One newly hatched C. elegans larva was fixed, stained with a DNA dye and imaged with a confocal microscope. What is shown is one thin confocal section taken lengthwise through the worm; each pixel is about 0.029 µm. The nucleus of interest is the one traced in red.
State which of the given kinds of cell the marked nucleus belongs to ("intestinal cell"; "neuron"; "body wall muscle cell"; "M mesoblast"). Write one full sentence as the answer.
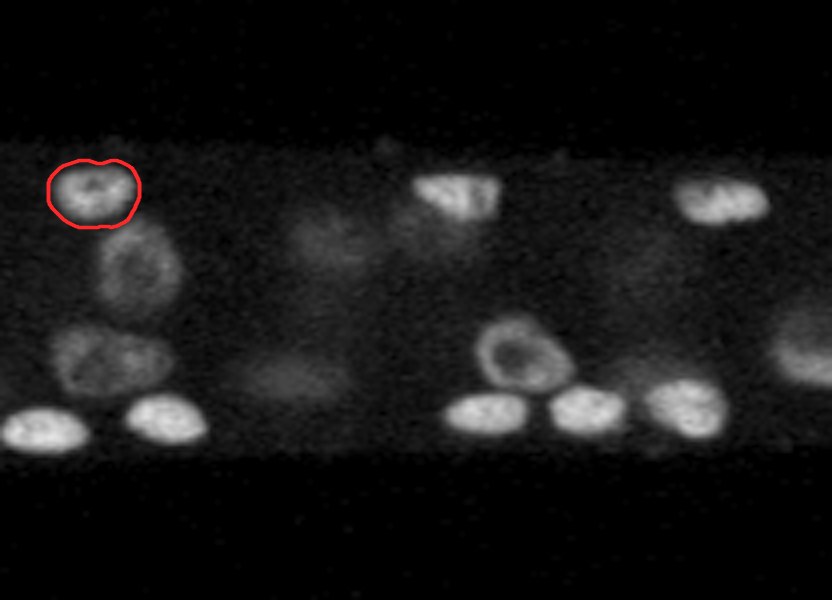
It is the nucleus of a body wall muscle cell.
